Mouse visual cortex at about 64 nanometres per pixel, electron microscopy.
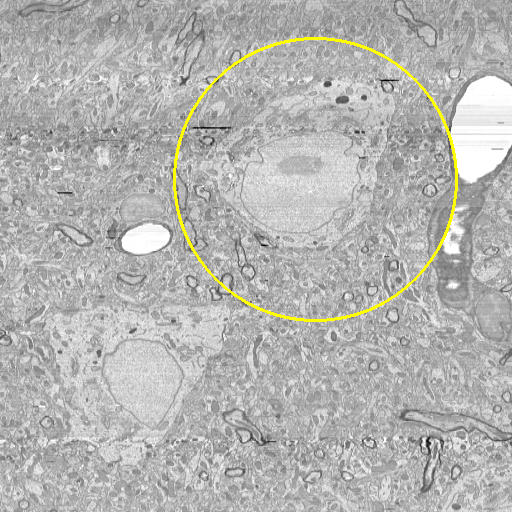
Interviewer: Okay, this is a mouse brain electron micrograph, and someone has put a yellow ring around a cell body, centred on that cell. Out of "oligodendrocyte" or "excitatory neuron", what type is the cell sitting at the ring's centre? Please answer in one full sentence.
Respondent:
The cell at the centre of the yellow ring in this picture is an excitatory neuron.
